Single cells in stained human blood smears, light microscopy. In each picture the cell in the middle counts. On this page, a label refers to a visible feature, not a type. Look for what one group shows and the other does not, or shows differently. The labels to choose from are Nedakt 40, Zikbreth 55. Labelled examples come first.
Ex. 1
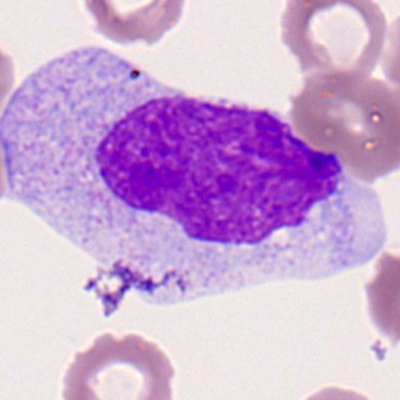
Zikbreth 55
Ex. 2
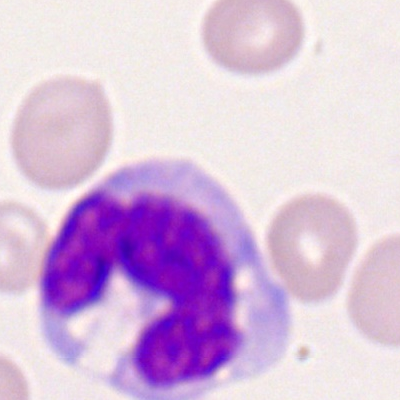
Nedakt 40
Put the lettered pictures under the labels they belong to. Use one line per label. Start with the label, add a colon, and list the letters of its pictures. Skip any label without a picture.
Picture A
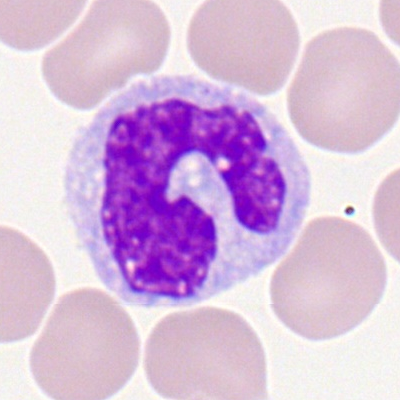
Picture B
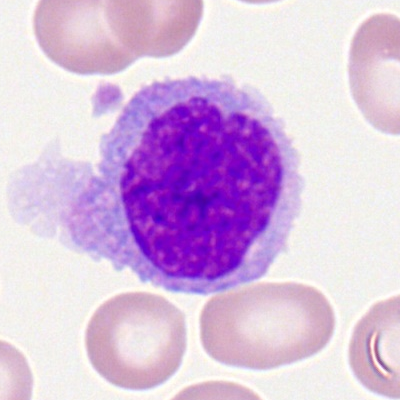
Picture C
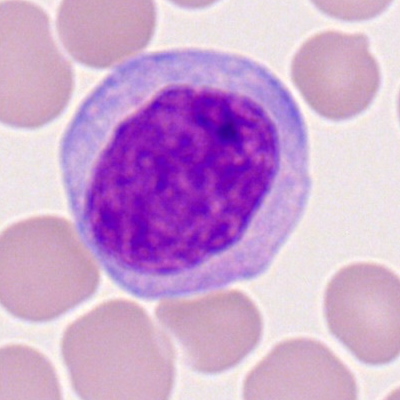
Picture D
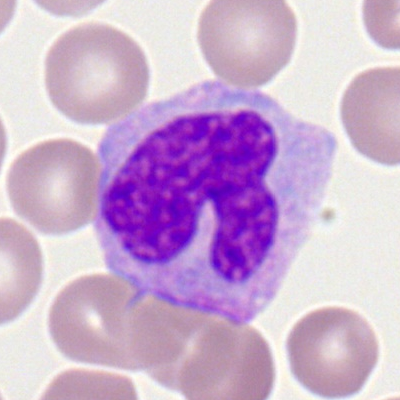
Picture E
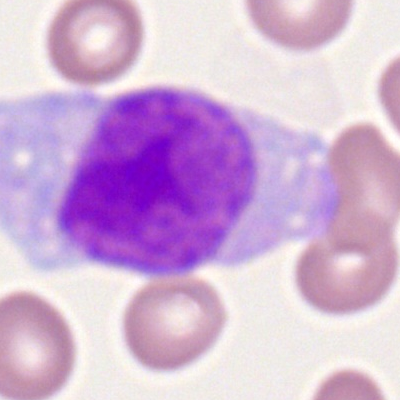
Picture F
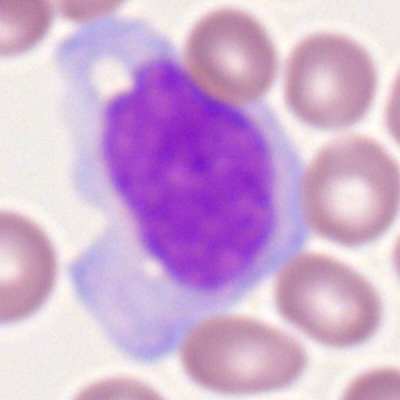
Nedakt 40: A, D
Zikbreth 55: B, C, E, F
